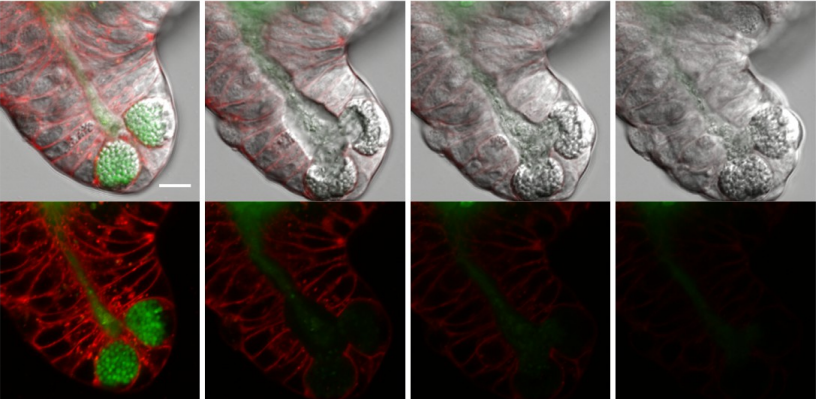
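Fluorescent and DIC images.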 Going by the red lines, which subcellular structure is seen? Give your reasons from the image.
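Cell membrane. Thin red lines outline each cell of the epithelium. The red outlines form a polygonal, columnar pattern around a central lumen.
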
